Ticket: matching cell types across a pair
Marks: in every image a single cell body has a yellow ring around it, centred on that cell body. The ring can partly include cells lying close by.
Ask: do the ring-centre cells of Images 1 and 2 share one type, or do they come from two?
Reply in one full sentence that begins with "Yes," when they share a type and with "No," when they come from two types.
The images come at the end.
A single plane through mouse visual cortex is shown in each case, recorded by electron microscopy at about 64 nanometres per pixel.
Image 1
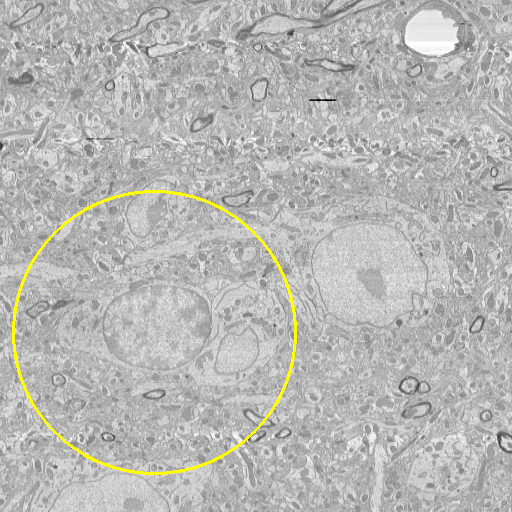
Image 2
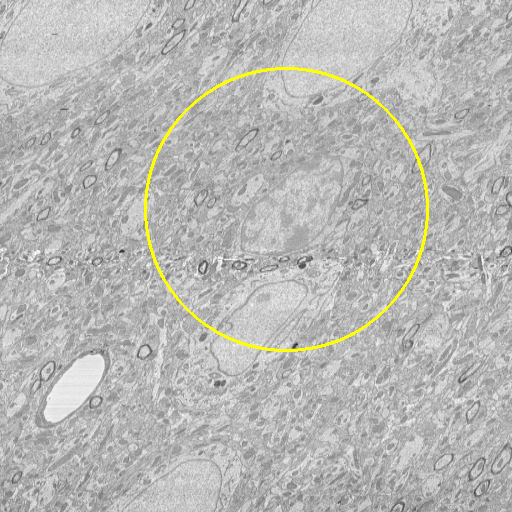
Yes, the cells in the centres of the rings in Image 1 and Image 2 share one type.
